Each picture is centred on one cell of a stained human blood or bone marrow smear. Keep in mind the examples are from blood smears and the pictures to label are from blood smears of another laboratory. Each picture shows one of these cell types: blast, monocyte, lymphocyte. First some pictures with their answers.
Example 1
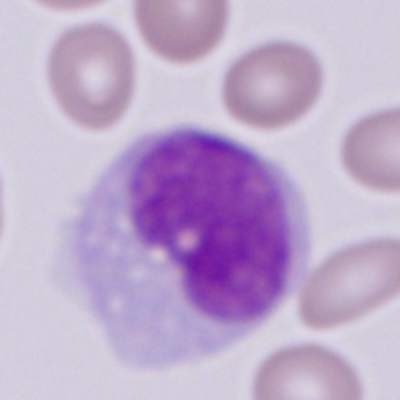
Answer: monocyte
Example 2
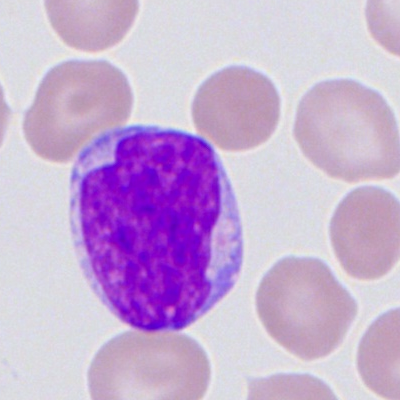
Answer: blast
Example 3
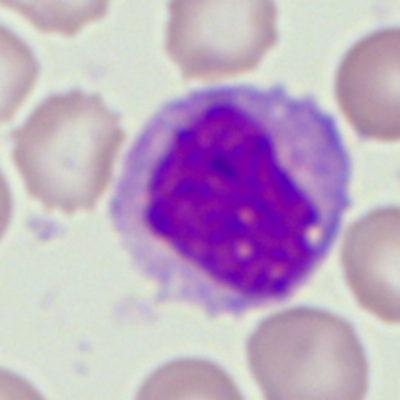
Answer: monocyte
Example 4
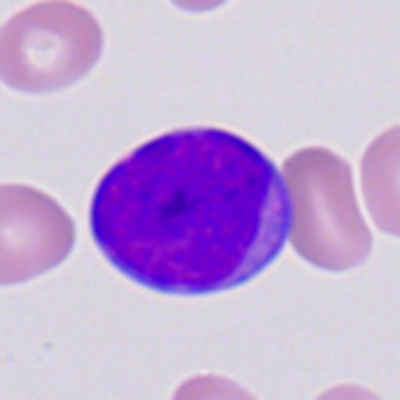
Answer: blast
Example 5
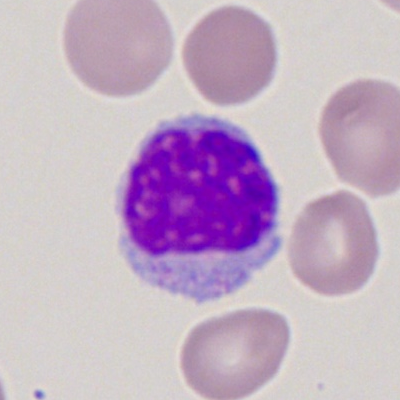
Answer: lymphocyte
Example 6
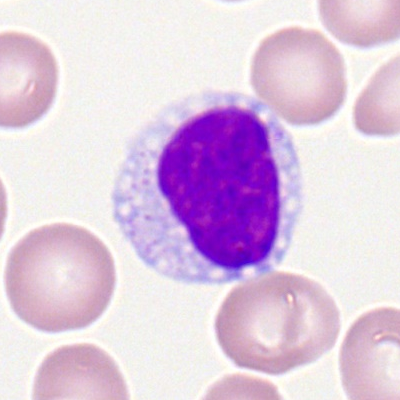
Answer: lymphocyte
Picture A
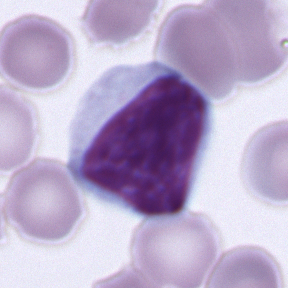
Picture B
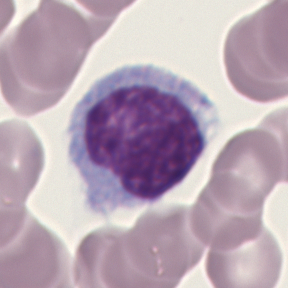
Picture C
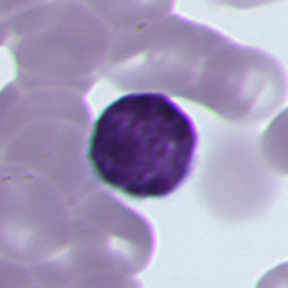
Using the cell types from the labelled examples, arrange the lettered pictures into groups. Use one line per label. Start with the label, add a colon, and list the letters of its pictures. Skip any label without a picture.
monocyte: B
lymphocyte: A, C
